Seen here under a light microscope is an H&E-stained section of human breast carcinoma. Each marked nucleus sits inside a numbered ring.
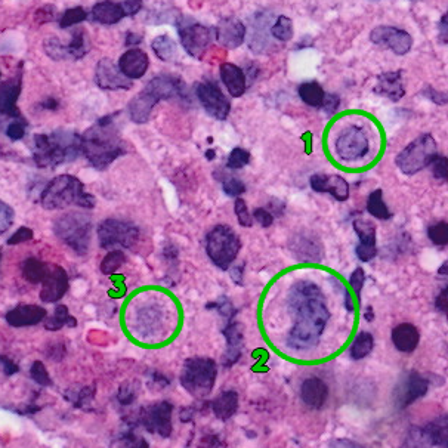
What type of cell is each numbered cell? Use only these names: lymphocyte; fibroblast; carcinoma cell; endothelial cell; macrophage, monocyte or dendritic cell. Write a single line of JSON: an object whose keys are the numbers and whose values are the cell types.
{"1": "macrophage, monocyte or dendritic cell", "2": "carcinoma cell", "3": "macrophage, monocyte or dendritic cell"}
